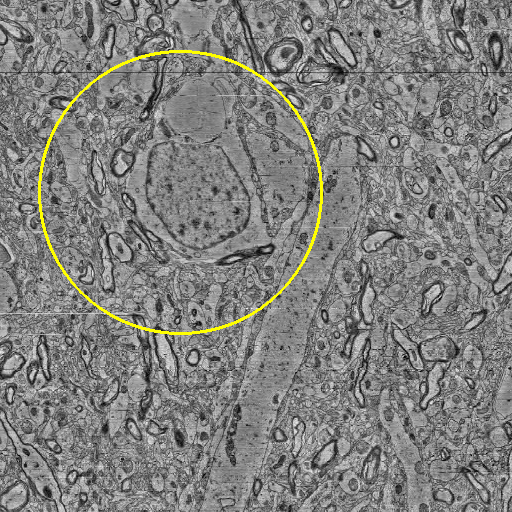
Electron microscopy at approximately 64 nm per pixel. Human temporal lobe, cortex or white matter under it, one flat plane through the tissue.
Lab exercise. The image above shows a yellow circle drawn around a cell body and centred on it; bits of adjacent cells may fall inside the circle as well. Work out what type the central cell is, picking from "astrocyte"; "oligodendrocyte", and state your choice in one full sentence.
In the image above, the cell at the centre of the yellow circle is an astrocyte.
